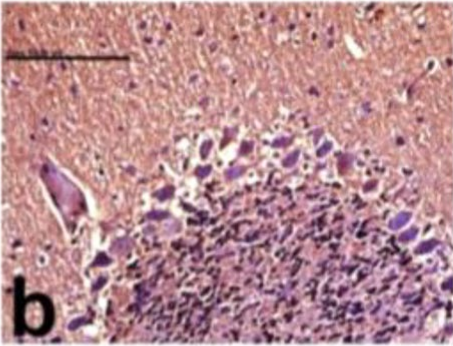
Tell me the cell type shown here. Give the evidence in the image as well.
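Large flask-shaped cell bodies. They lie in a row along the border of the dense small-celled layer. That points to this answer: Purkinje cells.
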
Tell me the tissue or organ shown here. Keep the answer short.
Cerebellum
